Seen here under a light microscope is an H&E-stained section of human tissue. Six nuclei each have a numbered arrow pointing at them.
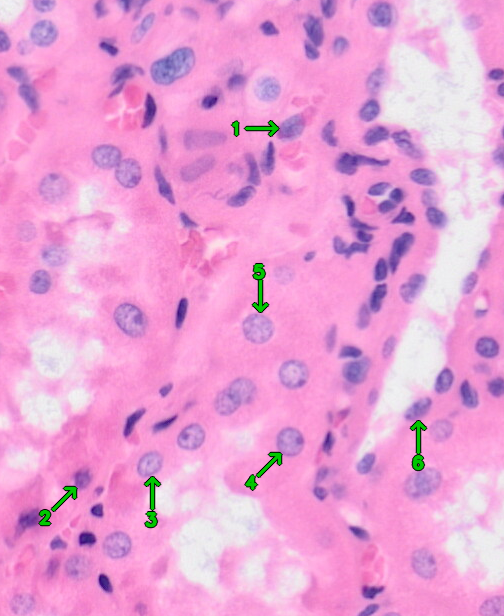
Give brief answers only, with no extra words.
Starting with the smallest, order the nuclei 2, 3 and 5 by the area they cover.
2, 3, 5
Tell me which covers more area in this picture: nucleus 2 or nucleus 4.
4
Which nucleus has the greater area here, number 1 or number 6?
1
